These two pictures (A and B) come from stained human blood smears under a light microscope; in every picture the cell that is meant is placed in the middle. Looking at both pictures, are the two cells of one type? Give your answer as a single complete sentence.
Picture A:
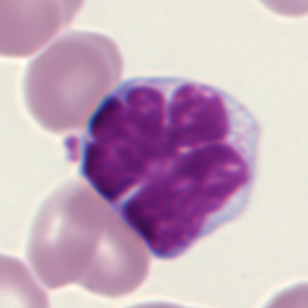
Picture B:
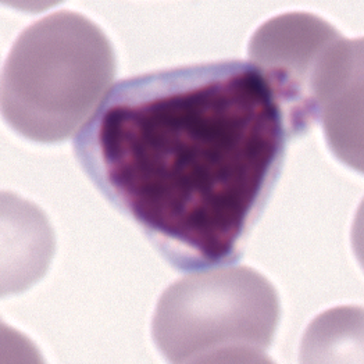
Yes, the two pictures both show large granular lymphocytes.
